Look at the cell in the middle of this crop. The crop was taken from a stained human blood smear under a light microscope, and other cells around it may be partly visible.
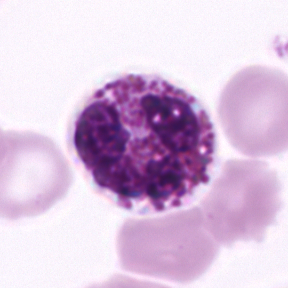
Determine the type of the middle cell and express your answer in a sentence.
For this crop, the central cell is an eosinophil.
